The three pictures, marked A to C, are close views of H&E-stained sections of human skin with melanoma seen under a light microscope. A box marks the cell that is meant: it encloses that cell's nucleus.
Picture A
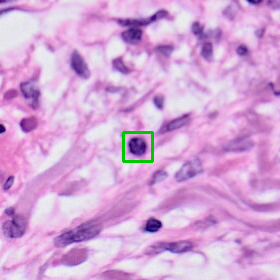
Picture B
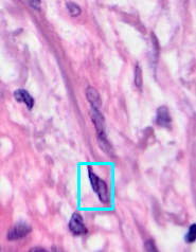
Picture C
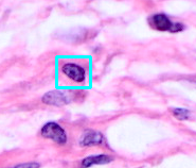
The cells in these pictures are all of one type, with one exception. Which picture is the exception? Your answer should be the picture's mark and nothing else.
B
